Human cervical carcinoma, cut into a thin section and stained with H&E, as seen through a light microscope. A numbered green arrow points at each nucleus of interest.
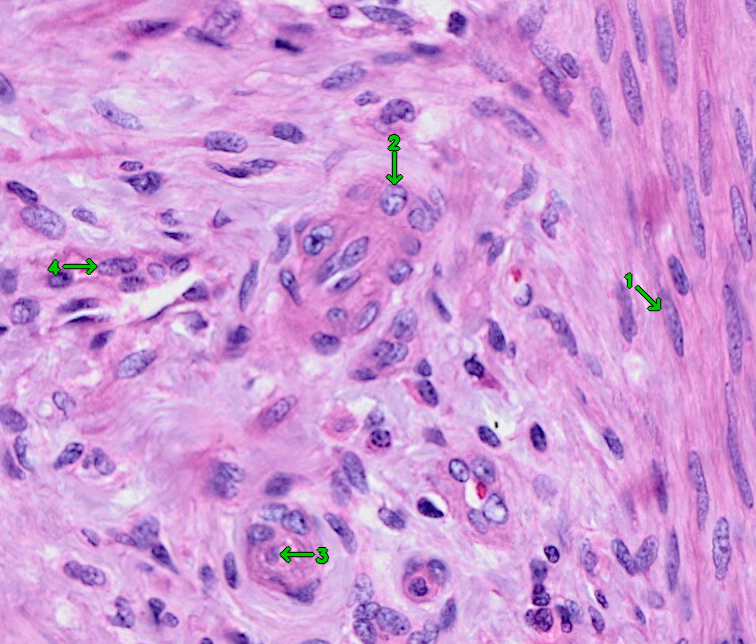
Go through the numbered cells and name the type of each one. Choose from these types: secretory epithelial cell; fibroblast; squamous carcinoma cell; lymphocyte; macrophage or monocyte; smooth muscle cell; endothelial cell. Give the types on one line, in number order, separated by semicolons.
smooth muscle cell; smooth muscle cell; endothelial cell; endothelial cell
